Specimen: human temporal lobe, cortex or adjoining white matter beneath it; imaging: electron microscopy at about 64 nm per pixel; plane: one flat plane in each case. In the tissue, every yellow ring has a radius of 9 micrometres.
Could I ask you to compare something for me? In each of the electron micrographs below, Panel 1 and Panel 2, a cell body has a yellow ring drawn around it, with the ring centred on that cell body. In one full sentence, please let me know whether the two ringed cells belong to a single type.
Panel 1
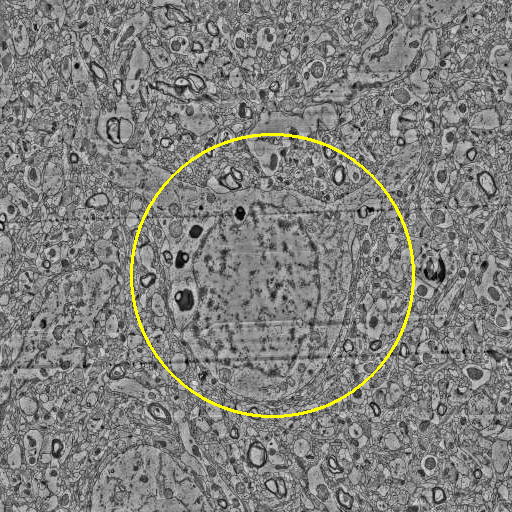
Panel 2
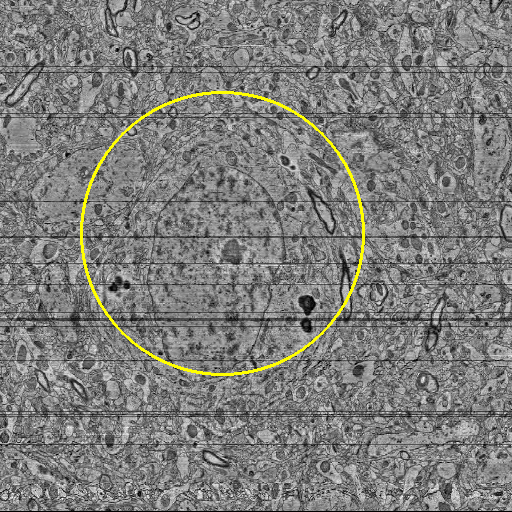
Yes, the two cells at the centres of the rings are of one type.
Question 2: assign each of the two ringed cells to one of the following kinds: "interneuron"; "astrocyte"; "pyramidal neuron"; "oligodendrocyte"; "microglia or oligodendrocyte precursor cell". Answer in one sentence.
Both pictures show an interneuron at the centre of the ring.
